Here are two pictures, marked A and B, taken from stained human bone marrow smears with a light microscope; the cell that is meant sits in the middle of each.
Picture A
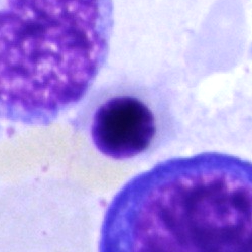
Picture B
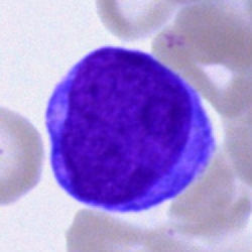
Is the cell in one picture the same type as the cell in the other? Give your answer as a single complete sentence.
No, picture A shows an erythroblast and picture B shows a blast.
